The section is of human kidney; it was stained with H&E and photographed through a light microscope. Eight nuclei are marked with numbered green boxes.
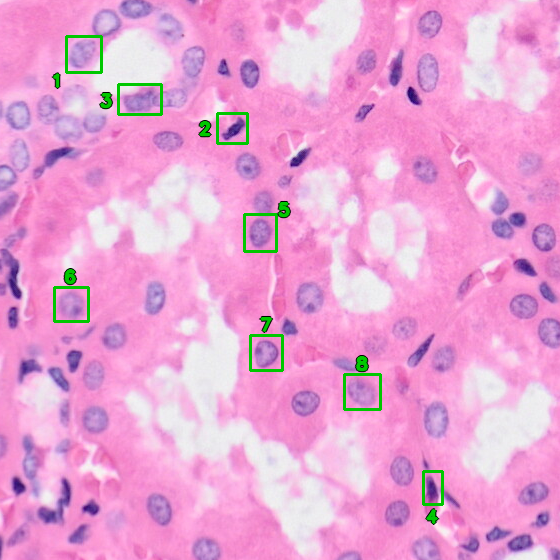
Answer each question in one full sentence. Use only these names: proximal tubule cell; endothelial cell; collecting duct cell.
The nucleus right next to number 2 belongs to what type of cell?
Number 2 lies closest to the nucleus of a proximal tubule cell.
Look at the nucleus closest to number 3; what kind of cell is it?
The cell nearest to number 3 is a collecting duct cell.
